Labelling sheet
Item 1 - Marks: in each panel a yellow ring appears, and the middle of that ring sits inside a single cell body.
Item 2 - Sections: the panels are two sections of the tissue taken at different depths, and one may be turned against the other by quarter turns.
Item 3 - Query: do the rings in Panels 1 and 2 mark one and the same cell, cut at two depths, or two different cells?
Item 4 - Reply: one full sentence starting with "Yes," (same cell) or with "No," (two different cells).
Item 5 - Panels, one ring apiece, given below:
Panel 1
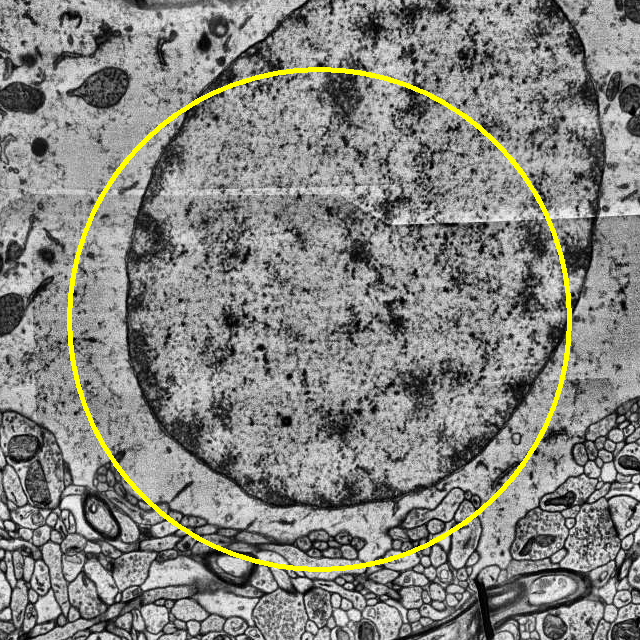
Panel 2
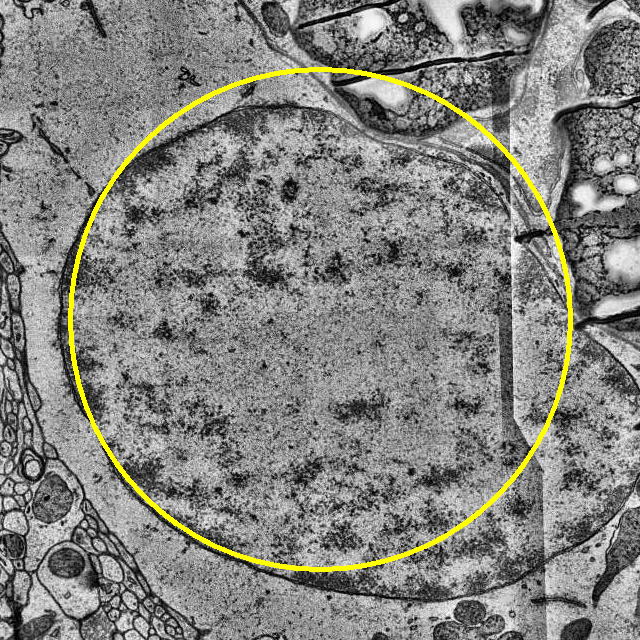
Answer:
Yes, the marked cell is the same in both rings.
